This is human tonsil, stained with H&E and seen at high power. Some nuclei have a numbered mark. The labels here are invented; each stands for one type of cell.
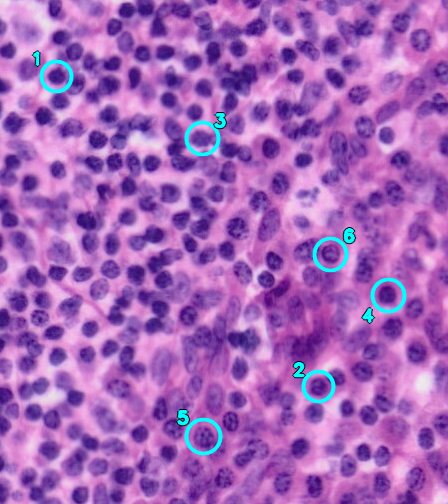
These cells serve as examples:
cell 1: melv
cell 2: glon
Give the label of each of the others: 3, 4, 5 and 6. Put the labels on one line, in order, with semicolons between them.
melv; glon; glon; glon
